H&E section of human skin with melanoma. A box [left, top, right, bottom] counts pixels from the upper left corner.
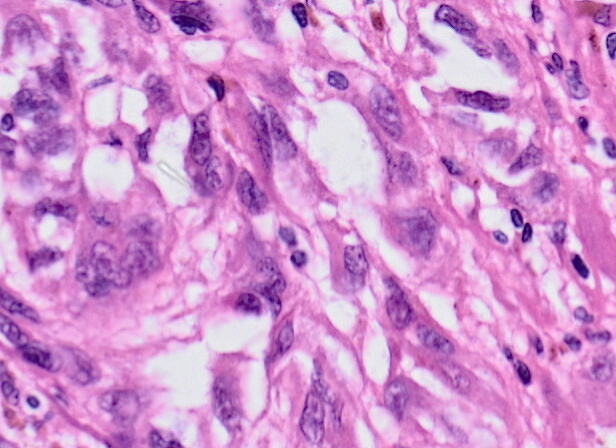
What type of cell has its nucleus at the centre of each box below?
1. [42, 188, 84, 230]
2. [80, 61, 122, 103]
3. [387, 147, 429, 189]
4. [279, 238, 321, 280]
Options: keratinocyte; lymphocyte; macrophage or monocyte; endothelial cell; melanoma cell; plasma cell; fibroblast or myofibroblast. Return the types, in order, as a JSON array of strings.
["melanoma cell", "melanoma cell", "melanoma cell", "lymphocyte"]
